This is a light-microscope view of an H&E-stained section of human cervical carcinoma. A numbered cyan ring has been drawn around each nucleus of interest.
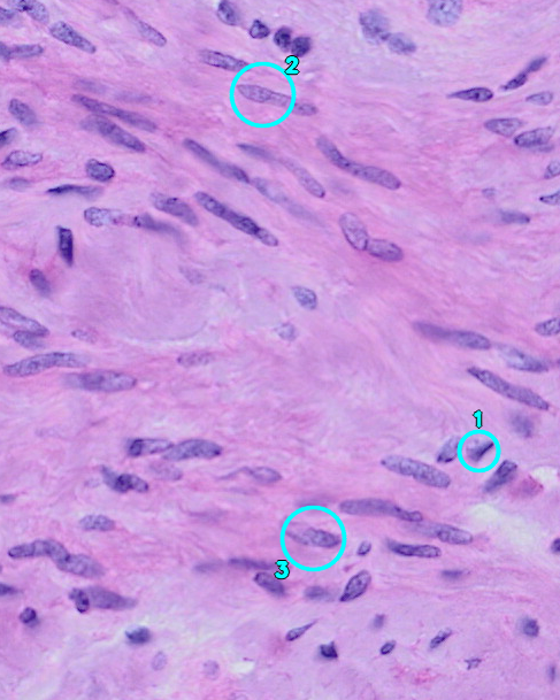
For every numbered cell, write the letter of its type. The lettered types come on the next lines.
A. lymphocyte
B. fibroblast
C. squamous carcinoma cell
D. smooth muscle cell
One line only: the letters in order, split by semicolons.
B; B; D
